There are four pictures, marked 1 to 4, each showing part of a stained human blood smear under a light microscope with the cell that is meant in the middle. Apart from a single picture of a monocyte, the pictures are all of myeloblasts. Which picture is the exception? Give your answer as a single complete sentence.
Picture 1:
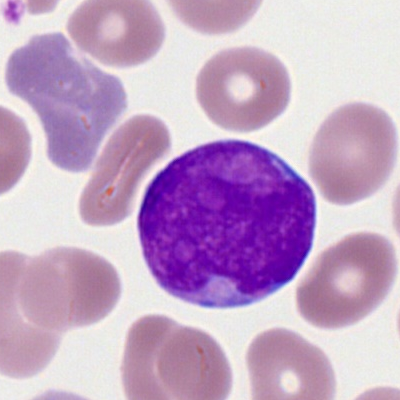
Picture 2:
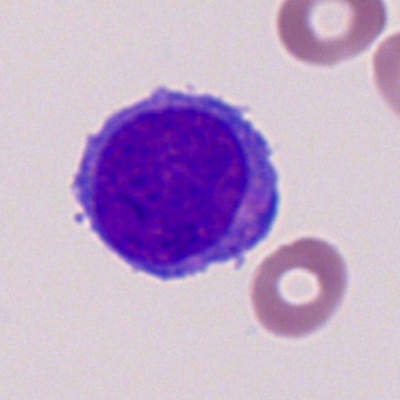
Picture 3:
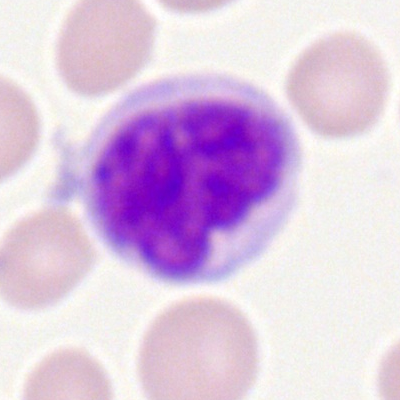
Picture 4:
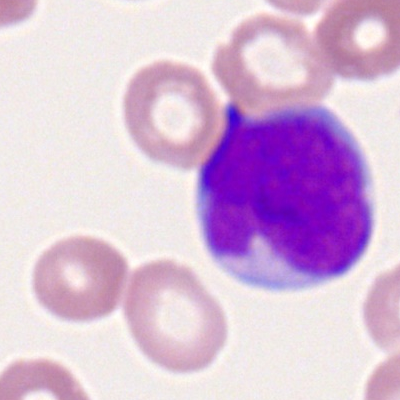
It is picture 3 that shows the monocyte.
